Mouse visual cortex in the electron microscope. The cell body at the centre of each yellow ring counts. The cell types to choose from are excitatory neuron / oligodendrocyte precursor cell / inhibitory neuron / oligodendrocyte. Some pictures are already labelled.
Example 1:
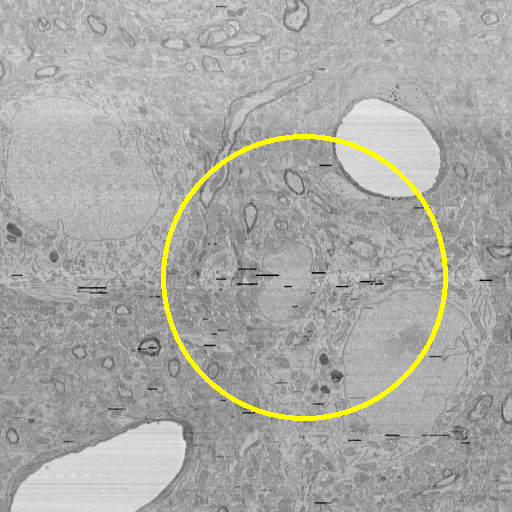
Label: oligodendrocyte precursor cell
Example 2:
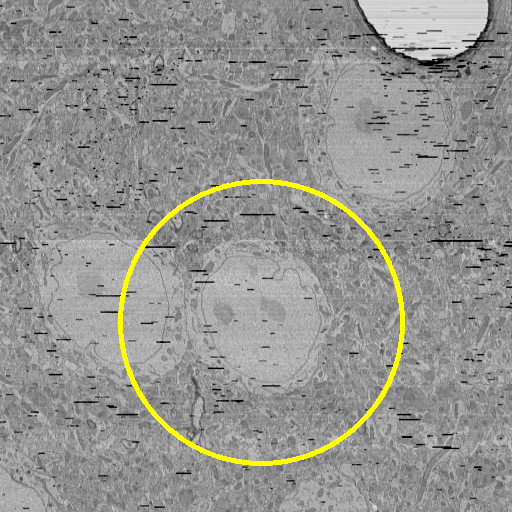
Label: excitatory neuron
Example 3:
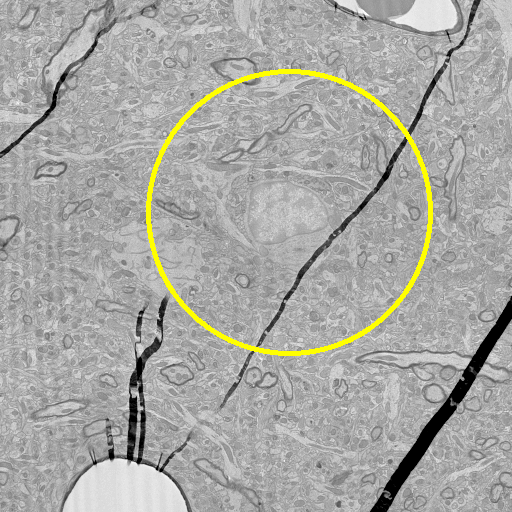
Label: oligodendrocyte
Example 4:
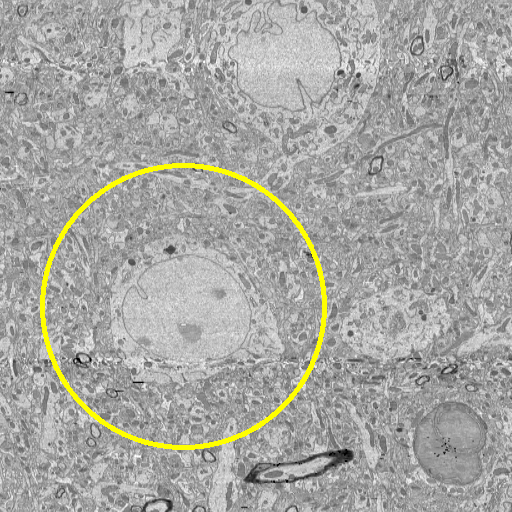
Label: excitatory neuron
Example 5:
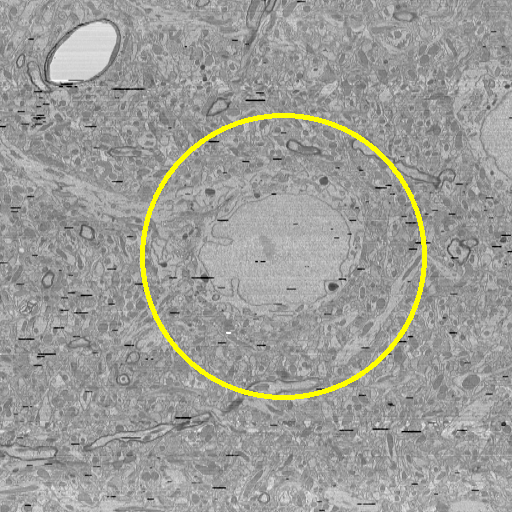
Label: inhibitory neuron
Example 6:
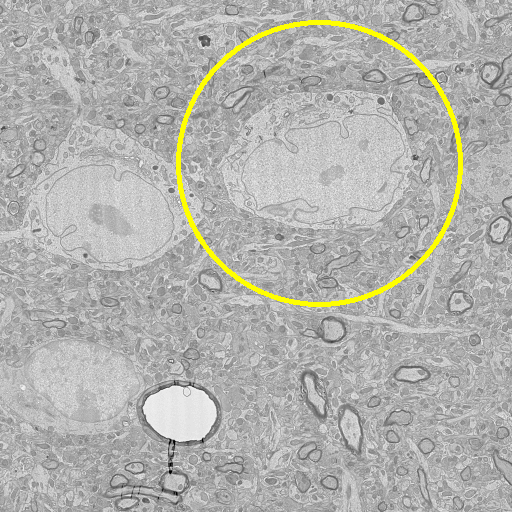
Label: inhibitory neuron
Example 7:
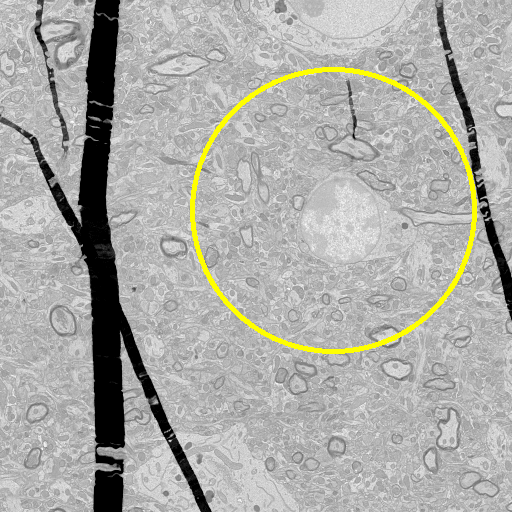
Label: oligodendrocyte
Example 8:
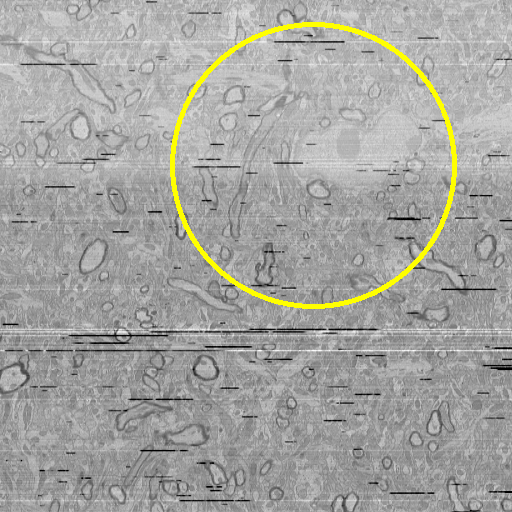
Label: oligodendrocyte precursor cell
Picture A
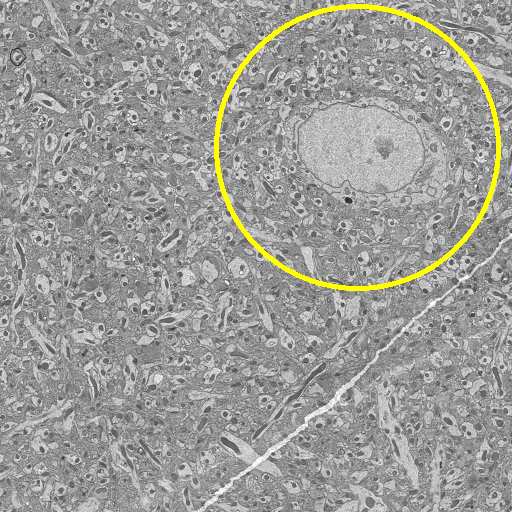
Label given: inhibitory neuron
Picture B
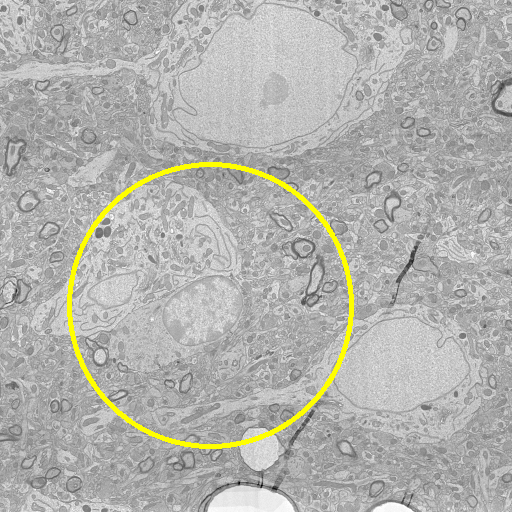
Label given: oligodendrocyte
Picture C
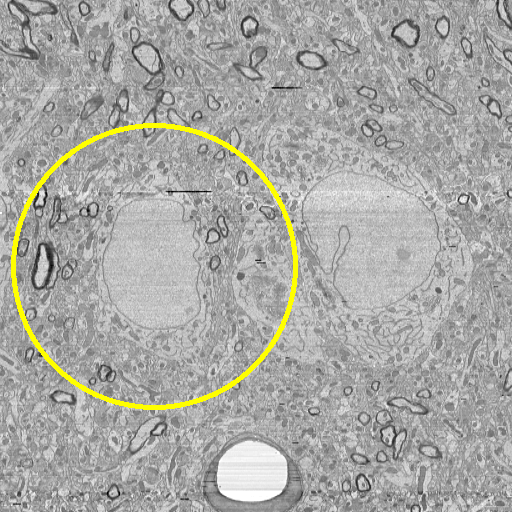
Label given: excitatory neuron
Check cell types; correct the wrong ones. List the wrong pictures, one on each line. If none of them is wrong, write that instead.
All labels are correct.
